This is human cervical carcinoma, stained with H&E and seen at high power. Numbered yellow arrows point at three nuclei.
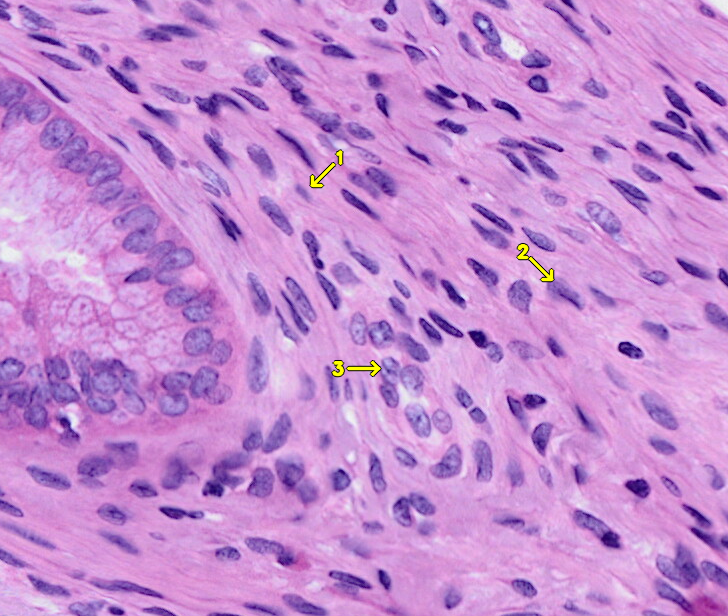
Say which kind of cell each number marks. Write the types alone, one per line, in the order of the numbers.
fibroblast
fibroblast
endothelial cell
